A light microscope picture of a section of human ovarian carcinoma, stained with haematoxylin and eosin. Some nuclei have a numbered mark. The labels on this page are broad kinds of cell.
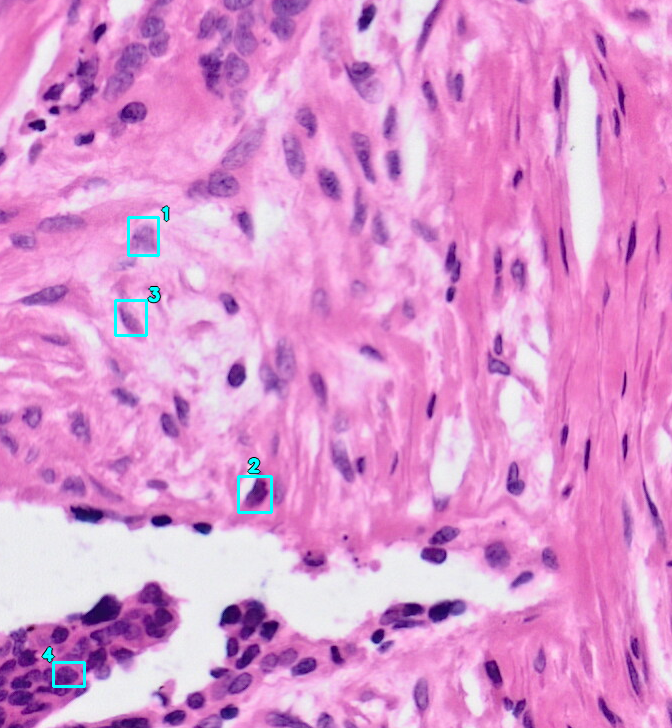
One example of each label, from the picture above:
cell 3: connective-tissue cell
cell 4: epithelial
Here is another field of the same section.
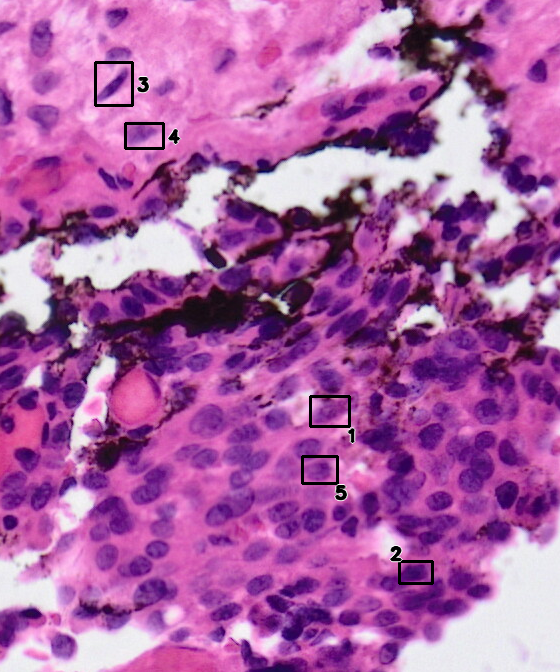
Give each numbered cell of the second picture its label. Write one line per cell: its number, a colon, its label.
1: epithelial
2: epithelial
3: connective-tissue cell
4: connective-tissue cell
5: epithelial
